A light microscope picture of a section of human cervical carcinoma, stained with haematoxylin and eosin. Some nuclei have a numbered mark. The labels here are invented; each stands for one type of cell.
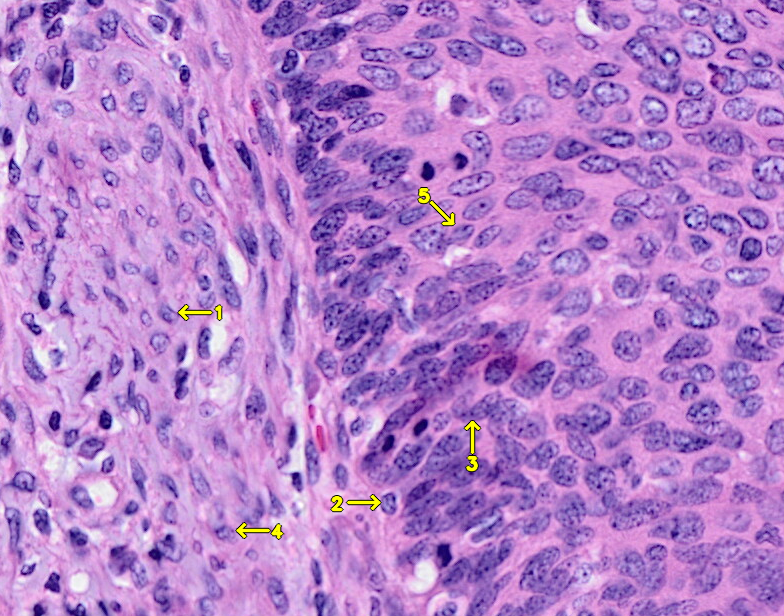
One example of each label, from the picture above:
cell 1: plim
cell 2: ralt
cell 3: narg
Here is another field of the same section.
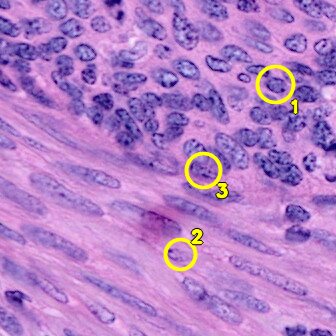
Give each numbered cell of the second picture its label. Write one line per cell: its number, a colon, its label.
1: narg
2: plim
3: narg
